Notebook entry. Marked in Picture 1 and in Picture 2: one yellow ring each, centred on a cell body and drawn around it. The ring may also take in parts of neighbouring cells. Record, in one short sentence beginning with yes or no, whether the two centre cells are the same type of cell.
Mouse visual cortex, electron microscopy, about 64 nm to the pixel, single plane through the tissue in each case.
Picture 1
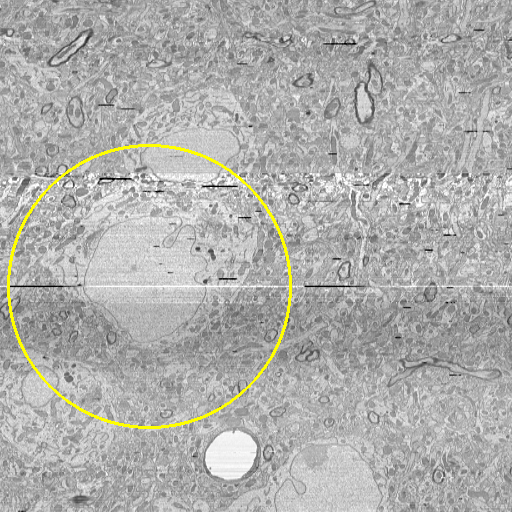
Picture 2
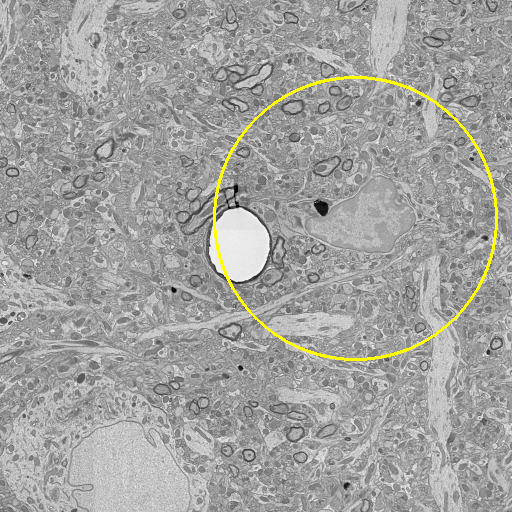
No, they are two types of cell.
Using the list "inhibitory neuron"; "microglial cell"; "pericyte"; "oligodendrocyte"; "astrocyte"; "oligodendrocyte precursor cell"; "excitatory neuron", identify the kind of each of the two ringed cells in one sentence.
The first is an excitatory neuron and the second is a microglial cell.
